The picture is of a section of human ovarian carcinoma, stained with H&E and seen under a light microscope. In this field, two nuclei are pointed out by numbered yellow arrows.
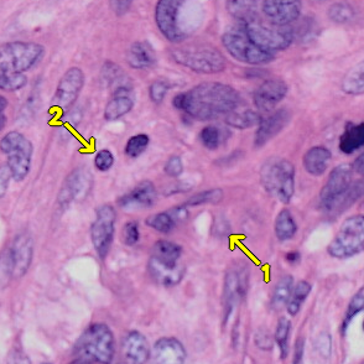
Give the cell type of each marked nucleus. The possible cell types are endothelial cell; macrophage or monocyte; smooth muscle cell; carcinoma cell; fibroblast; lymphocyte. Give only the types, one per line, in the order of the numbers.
fibroblast
lymphocyte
